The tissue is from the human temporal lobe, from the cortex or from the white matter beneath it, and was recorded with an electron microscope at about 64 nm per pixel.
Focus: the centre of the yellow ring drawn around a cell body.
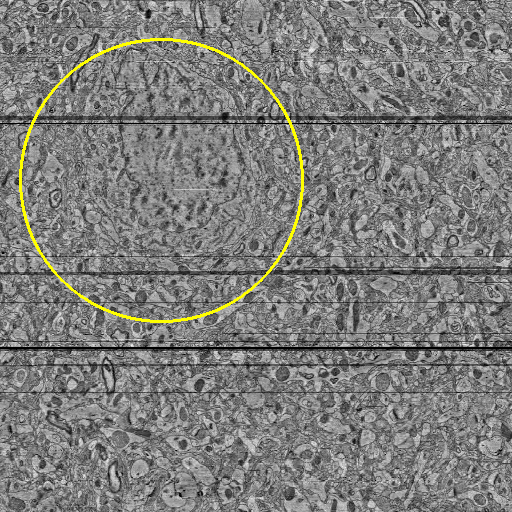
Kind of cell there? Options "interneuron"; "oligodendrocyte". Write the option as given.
interneuron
